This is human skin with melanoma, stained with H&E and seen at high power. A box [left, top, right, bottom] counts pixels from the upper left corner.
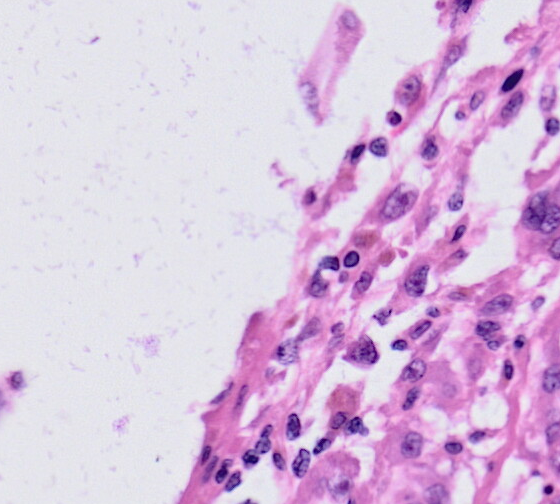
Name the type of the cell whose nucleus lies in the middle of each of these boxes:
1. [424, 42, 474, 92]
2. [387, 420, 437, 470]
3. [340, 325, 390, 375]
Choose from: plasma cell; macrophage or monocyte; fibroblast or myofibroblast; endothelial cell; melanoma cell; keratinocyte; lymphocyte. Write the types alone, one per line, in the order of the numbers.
fibroblast or myofibroblast
melanoma cell
melanoma cell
